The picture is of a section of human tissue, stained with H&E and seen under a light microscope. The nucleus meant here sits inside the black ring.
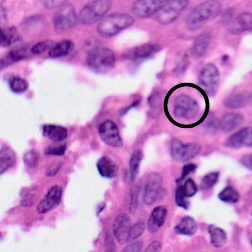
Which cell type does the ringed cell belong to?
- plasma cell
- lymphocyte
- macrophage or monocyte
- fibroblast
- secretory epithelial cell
macrophage or monocyte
